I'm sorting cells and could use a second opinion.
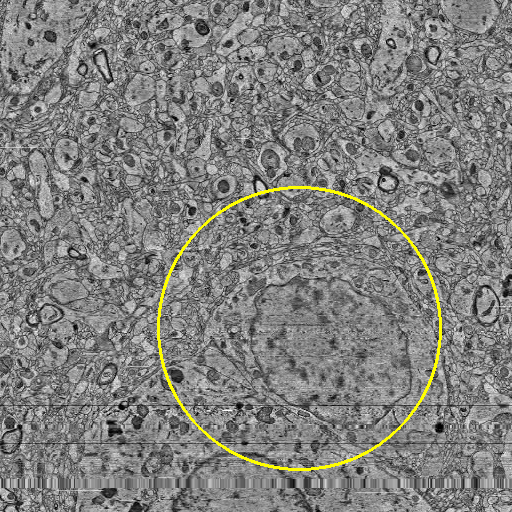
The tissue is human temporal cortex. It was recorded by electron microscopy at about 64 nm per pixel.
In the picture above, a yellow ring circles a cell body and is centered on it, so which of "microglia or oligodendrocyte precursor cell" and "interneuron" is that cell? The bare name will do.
interneuron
